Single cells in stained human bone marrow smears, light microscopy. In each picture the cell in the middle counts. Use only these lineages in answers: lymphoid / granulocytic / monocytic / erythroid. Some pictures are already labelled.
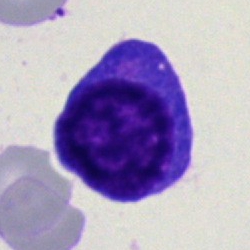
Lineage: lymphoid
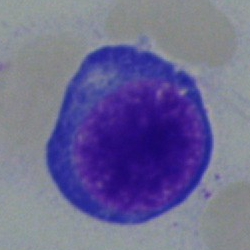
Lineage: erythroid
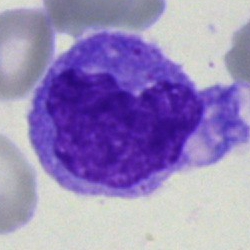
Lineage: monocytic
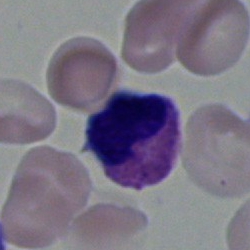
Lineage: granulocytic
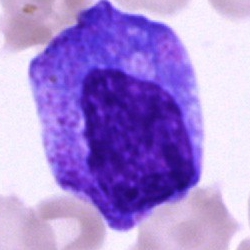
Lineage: granulocytic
